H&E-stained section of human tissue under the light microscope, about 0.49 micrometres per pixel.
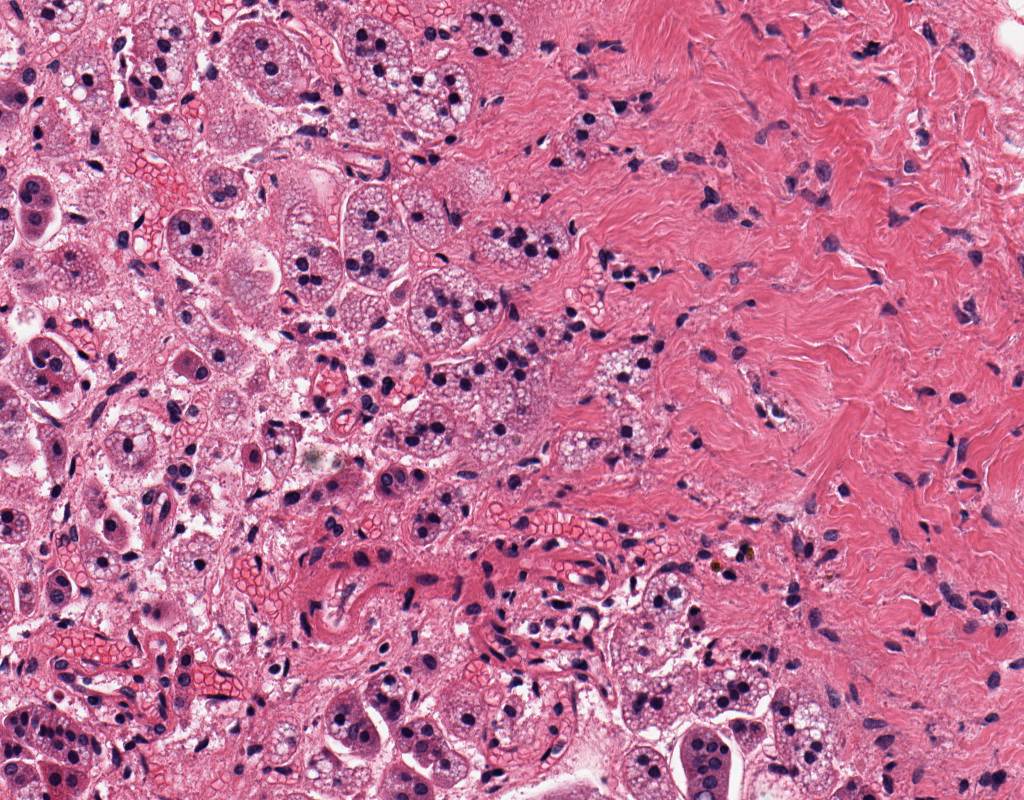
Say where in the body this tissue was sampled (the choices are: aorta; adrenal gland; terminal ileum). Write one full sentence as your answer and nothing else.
This slide holds tissue sampled from the adrenal gland.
